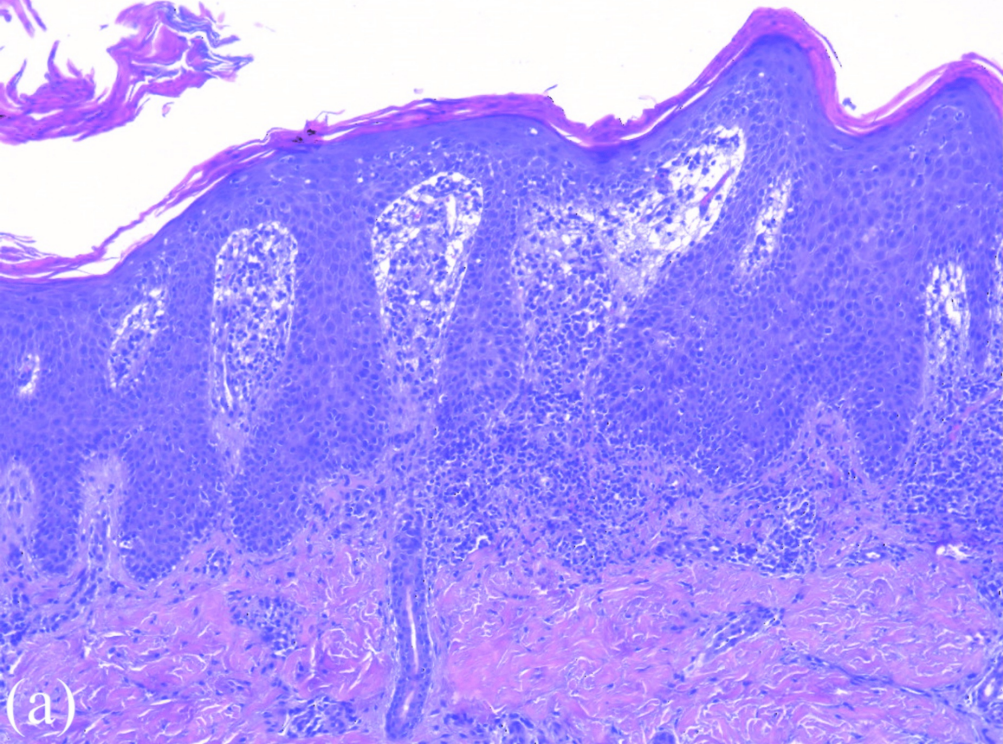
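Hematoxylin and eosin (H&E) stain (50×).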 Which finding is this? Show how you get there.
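Regular acanthosis with elongated rete ridges. The epidermis is markedly thickened. Dermal papillae reach up close to the surface between the ridges.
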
